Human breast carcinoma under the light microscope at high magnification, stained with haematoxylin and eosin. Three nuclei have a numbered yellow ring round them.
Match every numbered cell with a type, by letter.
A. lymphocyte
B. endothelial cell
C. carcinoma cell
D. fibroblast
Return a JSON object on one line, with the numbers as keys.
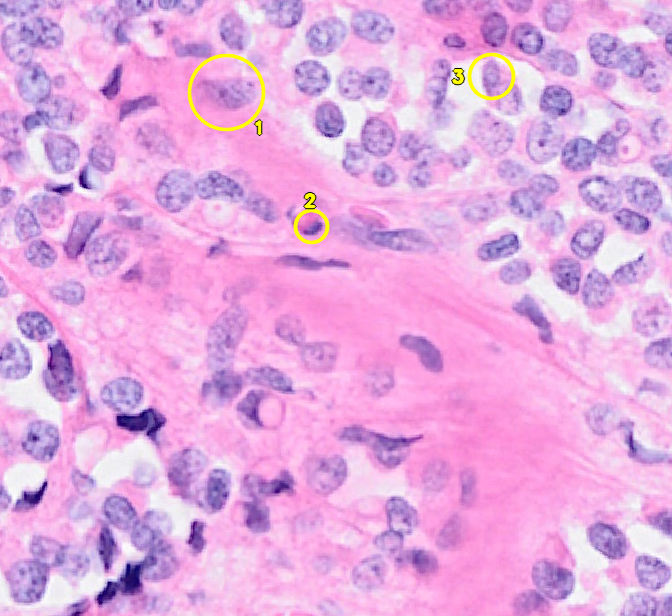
{"1": "D", "2": "B", "3": "C"}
